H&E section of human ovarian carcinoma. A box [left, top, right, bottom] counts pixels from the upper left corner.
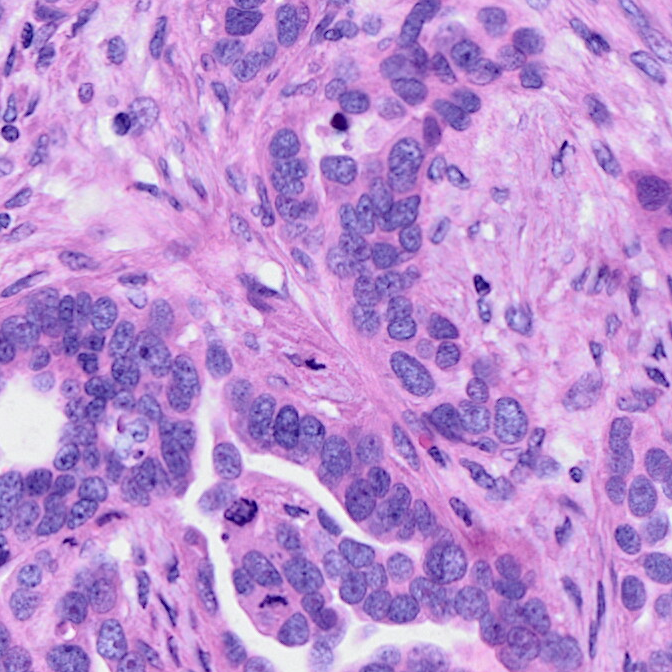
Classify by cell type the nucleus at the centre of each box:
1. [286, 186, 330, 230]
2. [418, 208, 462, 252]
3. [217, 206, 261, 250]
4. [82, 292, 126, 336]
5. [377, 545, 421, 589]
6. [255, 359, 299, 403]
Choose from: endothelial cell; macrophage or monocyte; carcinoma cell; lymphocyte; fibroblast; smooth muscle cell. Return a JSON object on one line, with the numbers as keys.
{"1": "carcinoma cell", "2": "fibroblast", "3": "fibroblast", "4": "carcinoma cell", "5": "carcinoma cell", "6": "fibroblast"}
